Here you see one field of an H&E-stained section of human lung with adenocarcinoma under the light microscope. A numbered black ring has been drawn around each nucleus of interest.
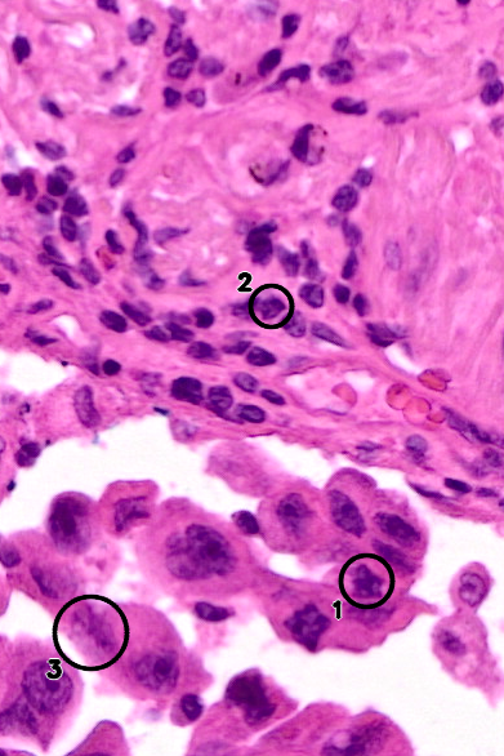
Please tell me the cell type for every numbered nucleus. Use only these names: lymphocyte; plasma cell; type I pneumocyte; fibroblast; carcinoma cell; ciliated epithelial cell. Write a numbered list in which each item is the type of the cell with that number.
1. carcinoma cell
2. lymphocyte
3. carcinoma cell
